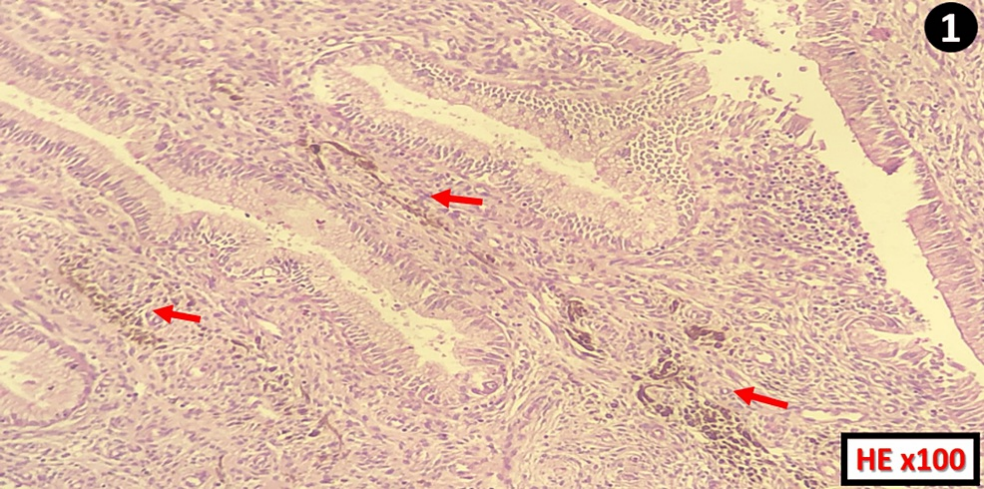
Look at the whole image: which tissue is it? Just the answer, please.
Endocervical mucosa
